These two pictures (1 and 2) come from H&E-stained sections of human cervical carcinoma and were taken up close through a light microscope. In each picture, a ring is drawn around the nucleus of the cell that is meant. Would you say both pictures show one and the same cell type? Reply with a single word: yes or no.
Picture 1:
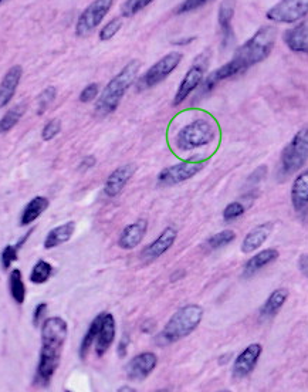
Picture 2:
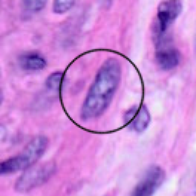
yes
